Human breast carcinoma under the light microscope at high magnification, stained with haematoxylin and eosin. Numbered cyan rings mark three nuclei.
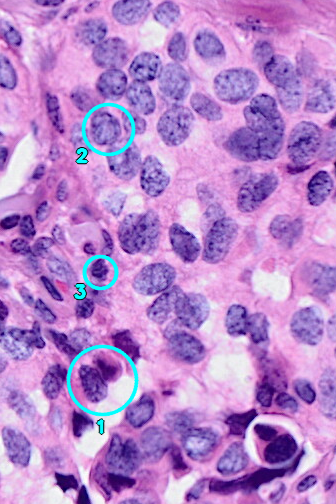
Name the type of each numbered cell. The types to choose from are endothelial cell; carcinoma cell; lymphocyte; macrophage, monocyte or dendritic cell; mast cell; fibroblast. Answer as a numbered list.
1. carcinoma cell
2. carcinoma cell
3. lymphocyte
